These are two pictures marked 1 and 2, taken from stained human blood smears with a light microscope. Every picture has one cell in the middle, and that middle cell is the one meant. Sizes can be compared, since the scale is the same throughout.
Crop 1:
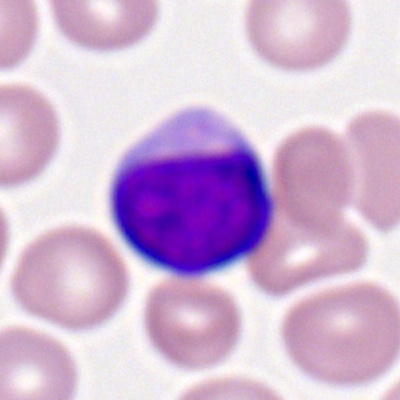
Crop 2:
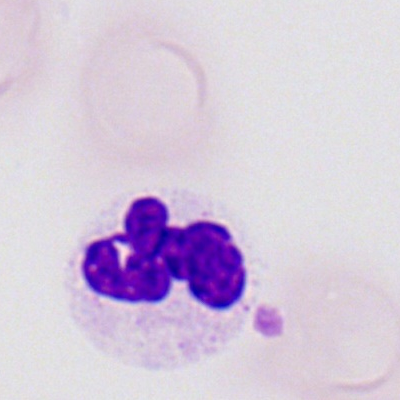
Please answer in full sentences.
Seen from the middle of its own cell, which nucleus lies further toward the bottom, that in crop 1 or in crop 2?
The nucleus in crop 1 lies further toward the bottom of its cell.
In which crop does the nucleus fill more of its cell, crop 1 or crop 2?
The nucleus fills more of the cell in crop 1 than in crop 2.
